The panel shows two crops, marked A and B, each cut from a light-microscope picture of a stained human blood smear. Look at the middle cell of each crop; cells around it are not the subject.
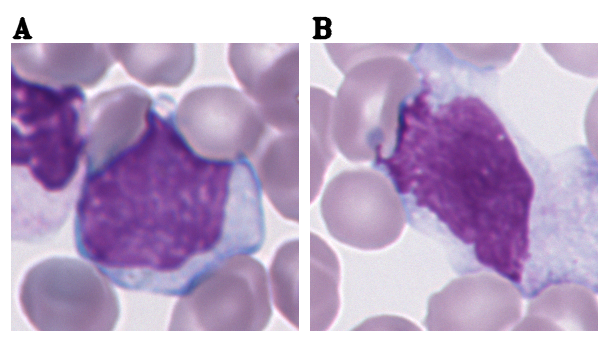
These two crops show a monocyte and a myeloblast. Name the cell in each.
A: myeloblast
B: monocyte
